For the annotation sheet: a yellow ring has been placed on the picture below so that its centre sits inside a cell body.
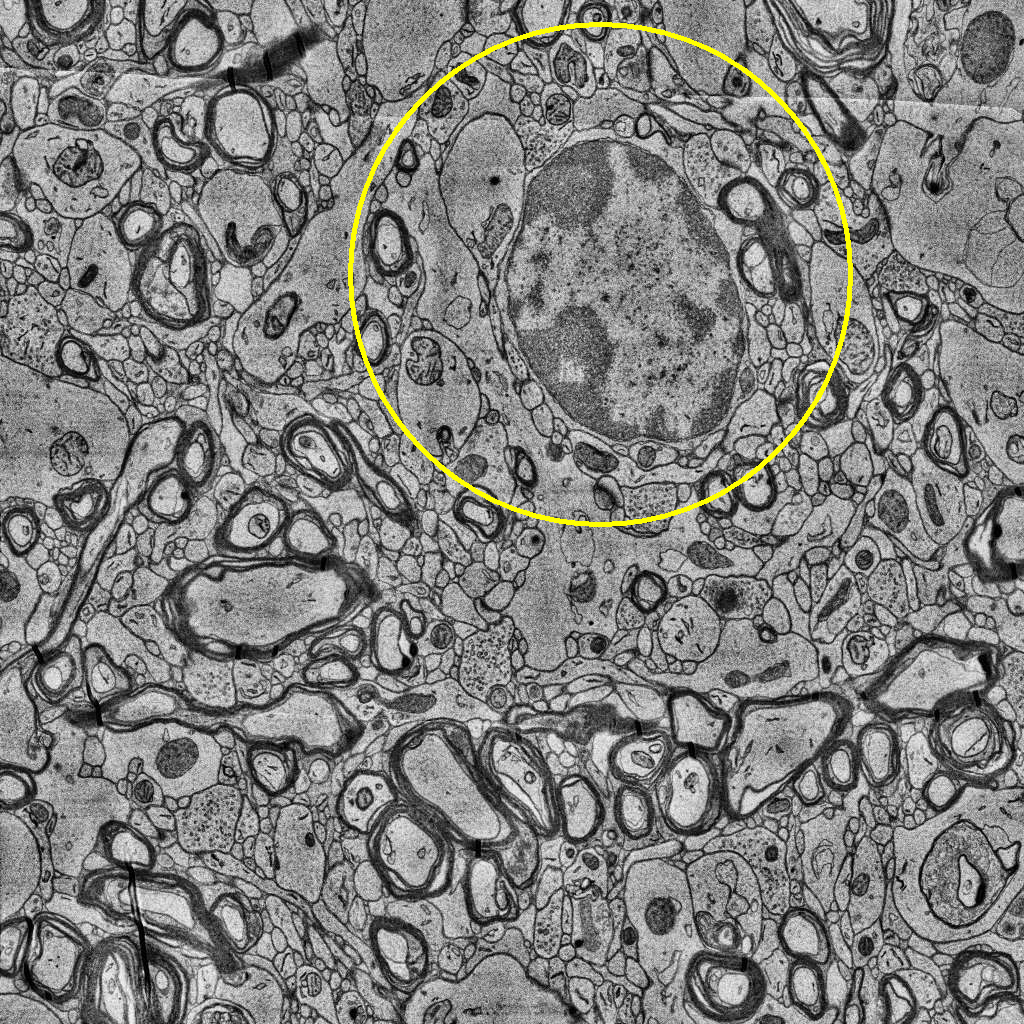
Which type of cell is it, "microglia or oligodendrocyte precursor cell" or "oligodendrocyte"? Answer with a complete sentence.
The cell at the ring's centre is a microglial cell or oligodendrocyte precursor cell.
